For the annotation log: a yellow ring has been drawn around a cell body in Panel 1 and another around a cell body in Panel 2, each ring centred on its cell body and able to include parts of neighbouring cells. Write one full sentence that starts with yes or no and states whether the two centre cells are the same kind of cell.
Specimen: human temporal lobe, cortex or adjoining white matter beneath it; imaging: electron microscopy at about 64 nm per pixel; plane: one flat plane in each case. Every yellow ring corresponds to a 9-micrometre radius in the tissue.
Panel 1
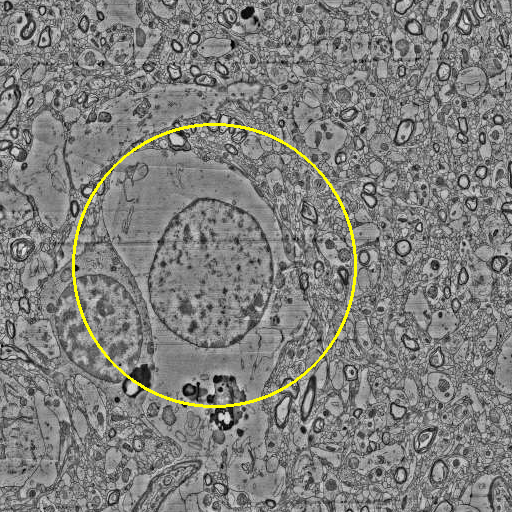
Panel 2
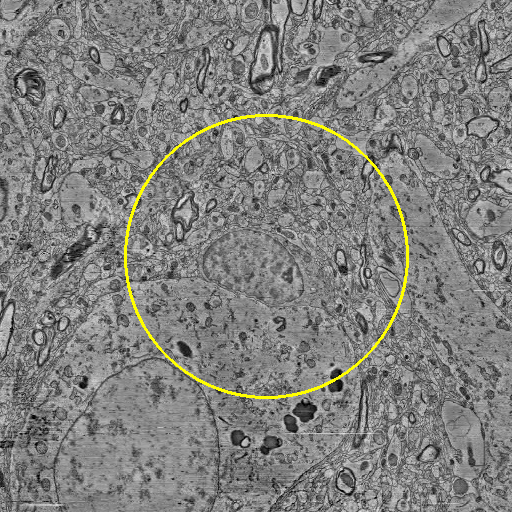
No, the two centre cells are two kinds of cell.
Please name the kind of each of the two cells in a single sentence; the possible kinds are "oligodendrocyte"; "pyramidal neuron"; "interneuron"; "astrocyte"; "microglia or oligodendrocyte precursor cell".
In the first picture the ring is centred on an astrocyte, and in the second on an oligodendrocyte.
